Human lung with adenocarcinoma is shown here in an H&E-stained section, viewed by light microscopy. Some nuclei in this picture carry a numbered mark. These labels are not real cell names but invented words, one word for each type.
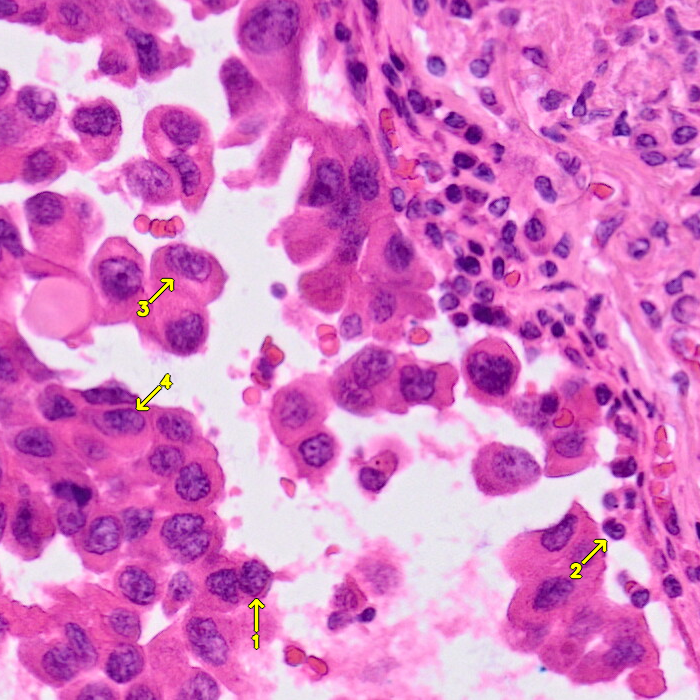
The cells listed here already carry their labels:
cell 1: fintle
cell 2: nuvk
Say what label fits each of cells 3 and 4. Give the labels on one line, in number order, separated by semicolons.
fintle; fintle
